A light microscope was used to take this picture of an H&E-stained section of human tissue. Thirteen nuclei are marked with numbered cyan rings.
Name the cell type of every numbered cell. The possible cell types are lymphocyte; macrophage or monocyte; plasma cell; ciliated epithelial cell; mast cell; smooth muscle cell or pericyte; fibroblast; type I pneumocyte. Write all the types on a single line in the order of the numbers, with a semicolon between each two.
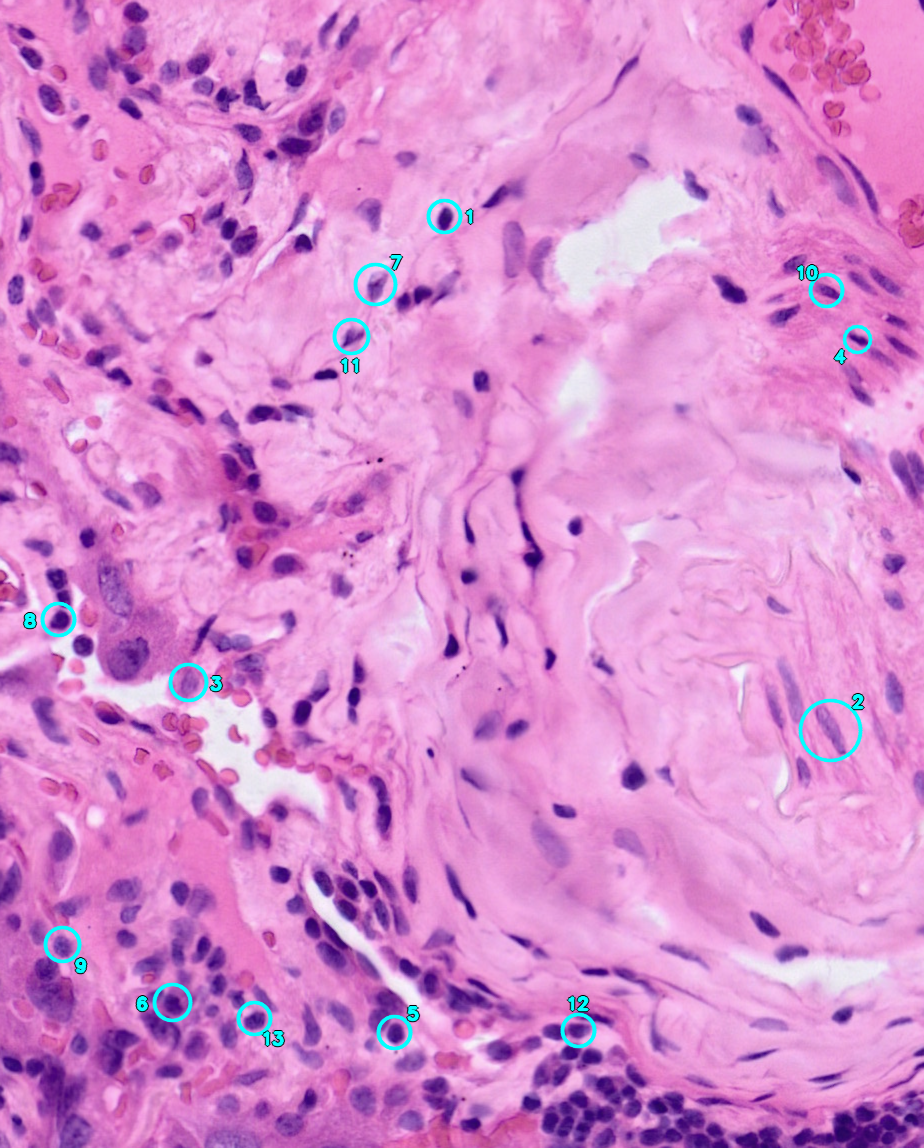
lymphocyte; smooth muscle cell or pericyte; macrophage or monocyte; smooth muscle cell or pericyte; lymphocyte; plasma cell; fibroblast; lymphocyte; lymphocyte; smooth muscle cell or pericyte; fibroblast; lymphocyte; lymphocyte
